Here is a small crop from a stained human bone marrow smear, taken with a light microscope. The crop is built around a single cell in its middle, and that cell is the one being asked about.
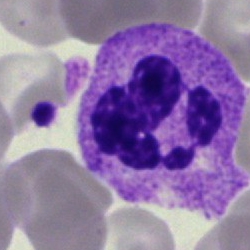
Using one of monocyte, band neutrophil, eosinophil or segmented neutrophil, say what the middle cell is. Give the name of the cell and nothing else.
segmented neutrophil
